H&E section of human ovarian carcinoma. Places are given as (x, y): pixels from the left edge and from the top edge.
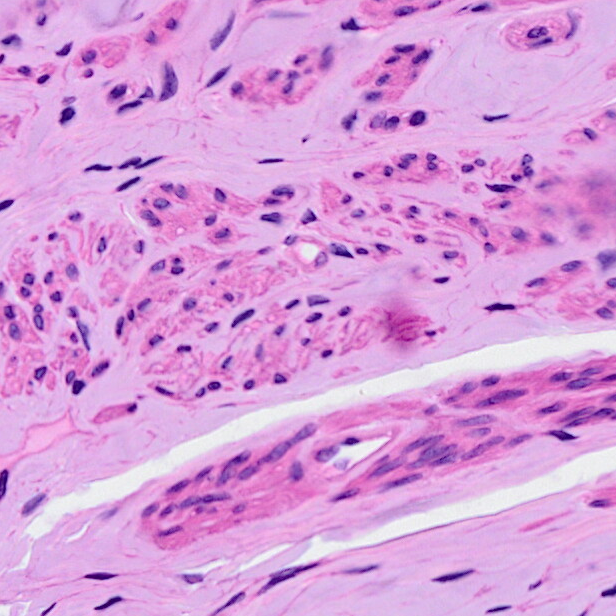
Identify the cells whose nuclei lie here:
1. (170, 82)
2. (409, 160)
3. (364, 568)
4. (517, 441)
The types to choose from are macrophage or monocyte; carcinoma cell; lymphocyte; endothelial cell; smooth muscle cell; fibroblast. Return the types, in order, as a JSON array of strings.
["fibroblast", "smooth muscle cell", "fibroblast", "smooth muscle cell"]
